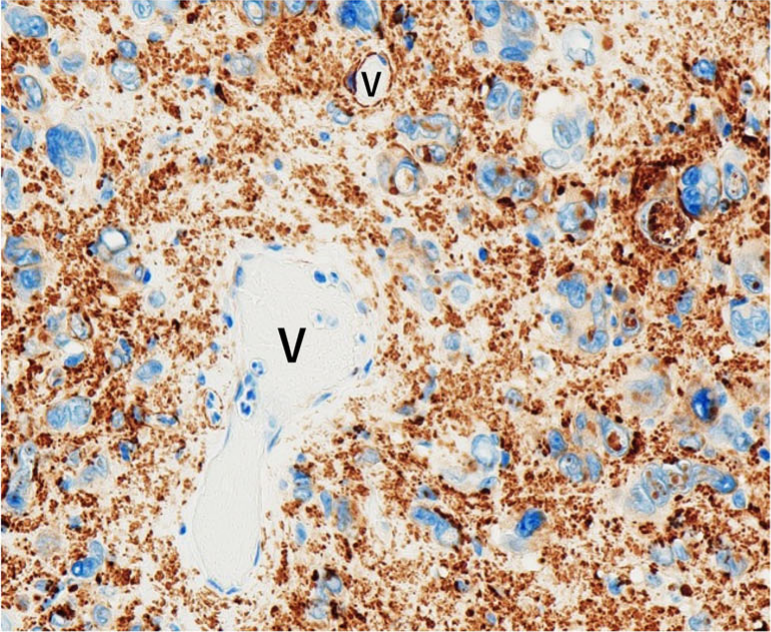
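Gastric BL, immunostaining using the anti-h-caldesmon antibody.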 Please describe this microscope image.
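The brown dots crowd the stroma-like area between the cells and also appear within the cytoplasm of some tumor cells. Two vessel lumens stand out as clear spaces without brown dots, ringed by the dotted matrix.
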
